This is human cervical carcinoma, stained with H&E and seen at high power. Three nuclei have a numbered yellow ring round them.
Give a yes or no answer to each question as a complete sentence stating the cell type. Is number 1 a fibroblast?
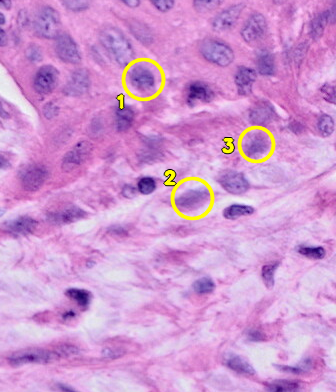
No, cell 1 is not a fibroblast; a squamous carcinoma cell is the correct identification.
